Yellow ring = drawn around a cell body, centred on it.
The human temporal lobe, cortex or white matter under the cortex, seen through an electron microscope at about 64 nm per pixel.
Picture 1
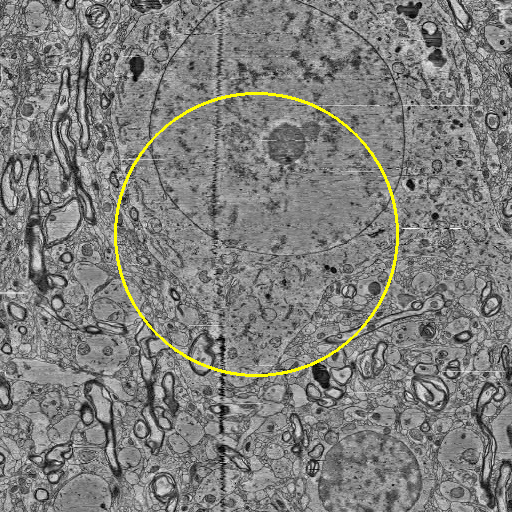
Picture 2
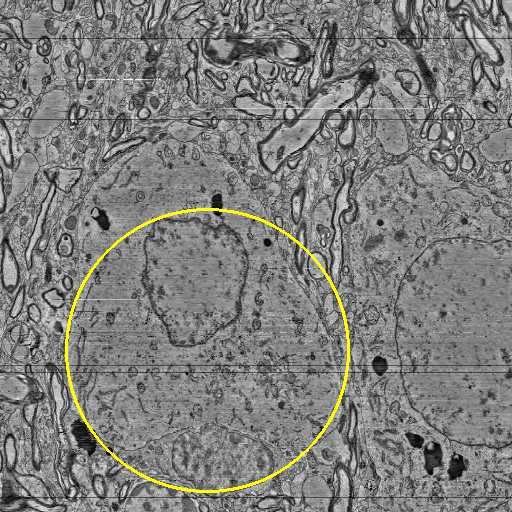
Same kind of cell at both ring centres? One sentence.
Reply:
Yes, they are the same kind of cell.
